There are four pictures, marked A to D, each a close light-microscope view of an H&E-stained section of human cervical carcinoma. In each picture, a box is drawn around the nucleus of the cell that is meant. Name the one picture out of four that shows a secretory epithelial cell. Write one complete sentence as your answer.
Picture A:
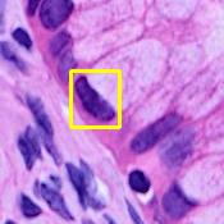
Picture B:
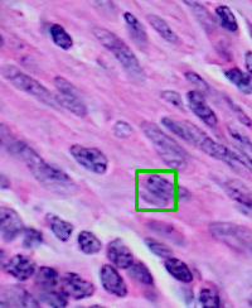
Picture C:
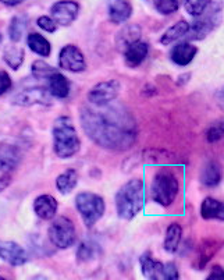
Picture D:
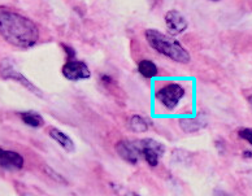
Picture A shows the secretory epithelial cell.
